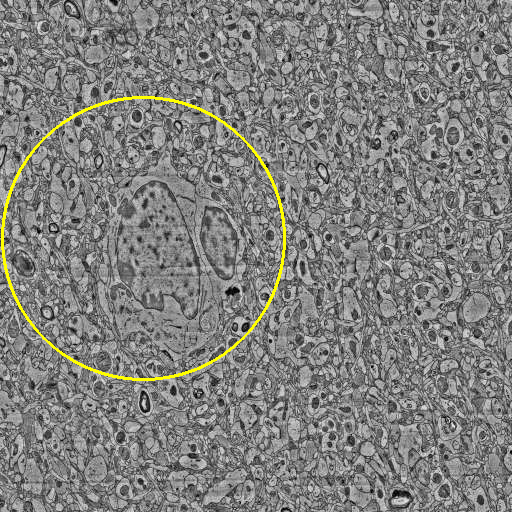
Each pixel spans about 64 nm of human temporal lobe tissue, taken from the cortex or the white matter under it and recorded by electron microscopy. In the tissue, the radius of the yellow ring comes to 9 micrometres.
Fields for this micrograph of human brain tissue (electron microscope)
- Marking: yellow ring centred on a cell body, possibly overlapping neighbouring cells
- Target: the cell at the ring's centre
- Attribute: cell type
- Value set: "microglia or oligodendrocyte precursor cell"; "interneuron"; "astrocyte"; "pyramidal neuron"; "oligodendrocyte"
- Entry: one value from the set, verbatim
microglia or oligodendrocyte precursor cell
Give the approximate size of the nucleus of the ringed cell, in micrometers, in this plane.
Approximately 8 by 5 micrometers, which makes the nucleus clearly longer than it is wide in this plane.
